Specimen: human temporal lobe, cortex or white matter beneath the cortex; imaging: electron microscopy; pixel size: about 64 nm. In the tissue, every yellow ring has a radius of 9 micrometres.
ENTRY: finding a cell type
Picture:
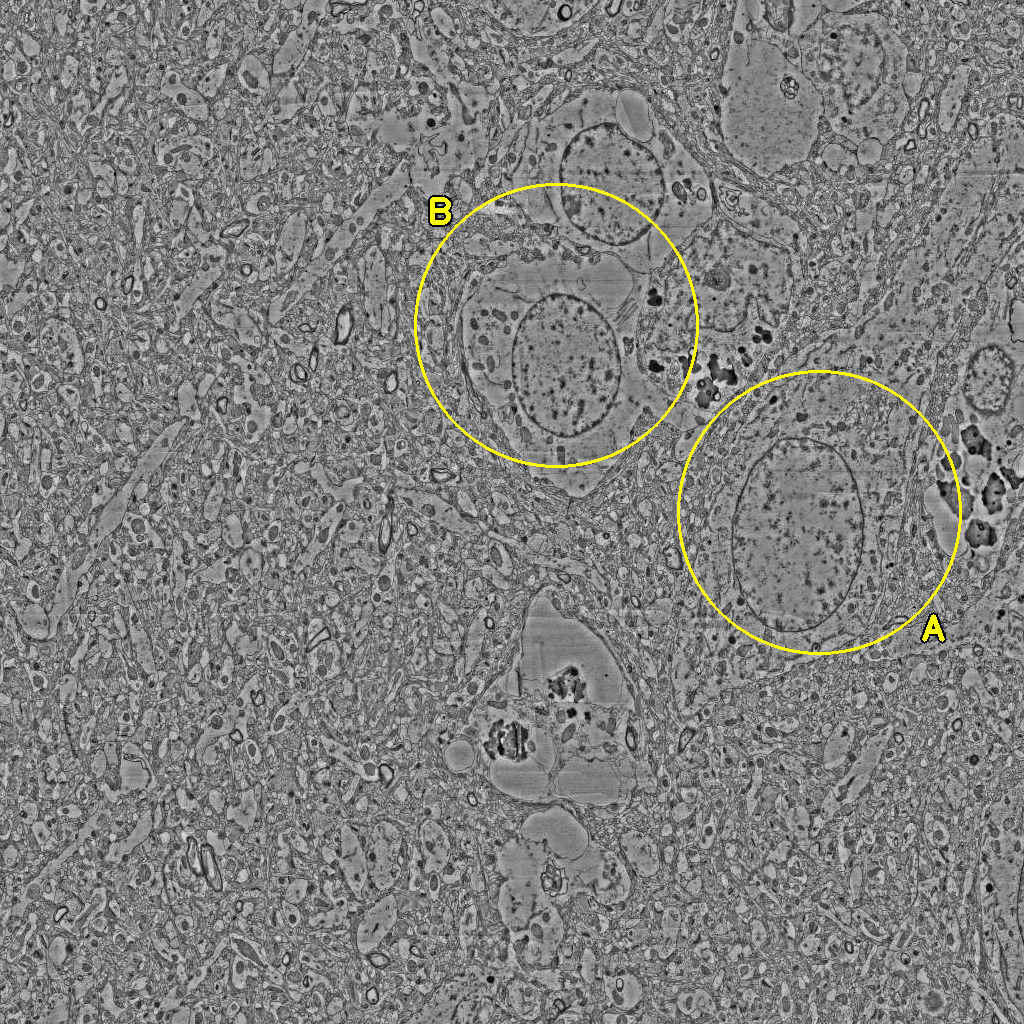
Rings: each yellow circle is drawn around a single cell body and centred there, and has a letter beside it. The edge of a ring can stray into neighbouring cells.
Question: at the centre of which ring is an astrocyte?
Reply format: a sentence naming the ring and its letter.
The answer is ring B, the one centred on the cell asked for.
